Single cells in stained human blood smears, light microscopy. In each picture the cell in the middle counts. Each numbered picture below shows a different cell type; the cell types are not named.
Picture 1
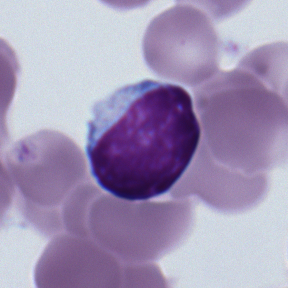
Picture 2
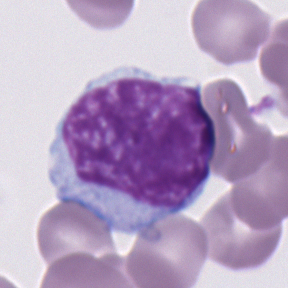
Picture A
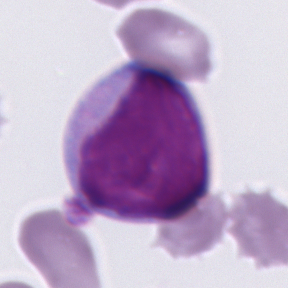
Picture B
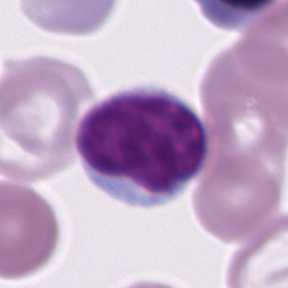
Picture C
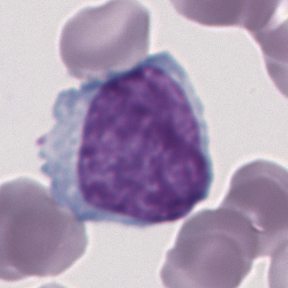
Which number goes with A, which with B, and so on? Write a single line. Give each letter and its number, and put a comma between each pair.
A 2, B 1, C 2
